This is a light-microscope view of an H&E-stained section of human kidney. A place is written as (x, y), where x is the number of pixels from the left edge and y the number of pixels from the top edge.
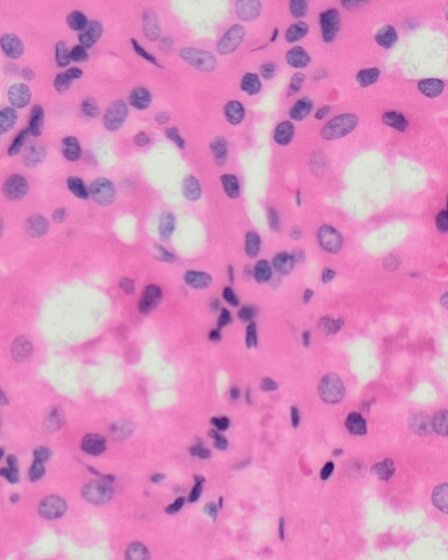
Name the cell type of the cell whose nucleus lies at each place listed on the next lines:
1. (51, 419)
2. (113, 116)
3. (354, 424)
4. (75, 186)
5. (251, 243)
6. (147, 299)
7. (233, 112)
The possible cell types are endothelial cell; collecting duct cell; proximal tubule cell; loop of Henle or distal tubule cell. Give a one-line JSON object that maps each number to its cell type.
{"1": "proximal tubule cell", "2": "collecting duct cell", "3": "proximal tubule cell", "4": "collecting duct cell", "5": "collecting duct cell", "6": "proximal tubule cell", "7": "collecting duct cell"}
